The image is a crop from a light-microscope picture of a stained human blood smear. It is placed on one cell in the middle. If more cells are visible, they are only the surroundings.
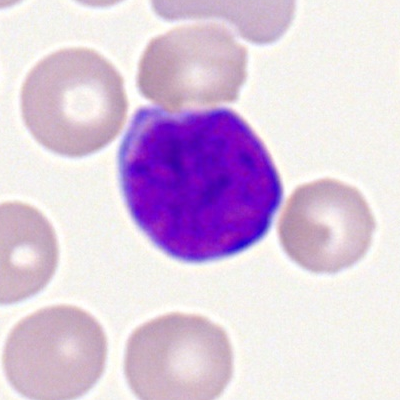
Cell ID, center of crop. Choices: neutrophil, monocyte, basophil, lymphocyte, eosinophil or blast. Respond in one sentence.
In the central position of this crop, the cell is a blast.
